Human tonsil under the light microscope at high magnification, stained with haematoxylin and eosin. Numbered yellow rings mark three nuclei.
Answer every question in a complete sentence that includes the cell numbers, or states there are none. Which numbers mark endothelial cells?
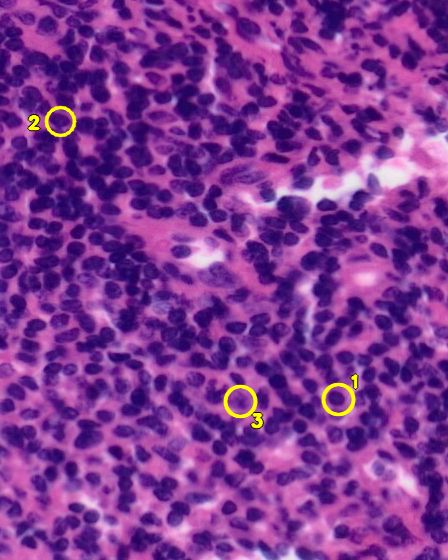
The nucleus numbered 3 is the only one that belongs to an endothelial cell.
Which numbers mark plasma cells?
Cell 1 is a plasma cell; every other numbered cell is something else.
